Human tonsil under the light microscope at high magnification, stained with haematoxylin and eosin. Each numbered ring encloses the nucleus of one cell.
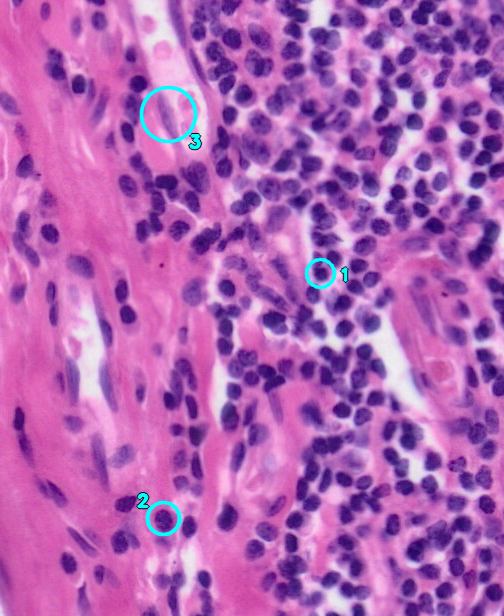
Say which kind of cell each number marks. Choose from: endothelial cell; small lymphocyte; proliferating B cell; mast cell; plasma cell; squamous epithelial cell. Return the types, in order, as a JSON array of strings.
["small lymphocyte", "plasma cell", "endothelial cell"]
